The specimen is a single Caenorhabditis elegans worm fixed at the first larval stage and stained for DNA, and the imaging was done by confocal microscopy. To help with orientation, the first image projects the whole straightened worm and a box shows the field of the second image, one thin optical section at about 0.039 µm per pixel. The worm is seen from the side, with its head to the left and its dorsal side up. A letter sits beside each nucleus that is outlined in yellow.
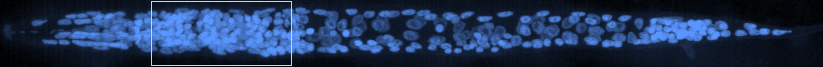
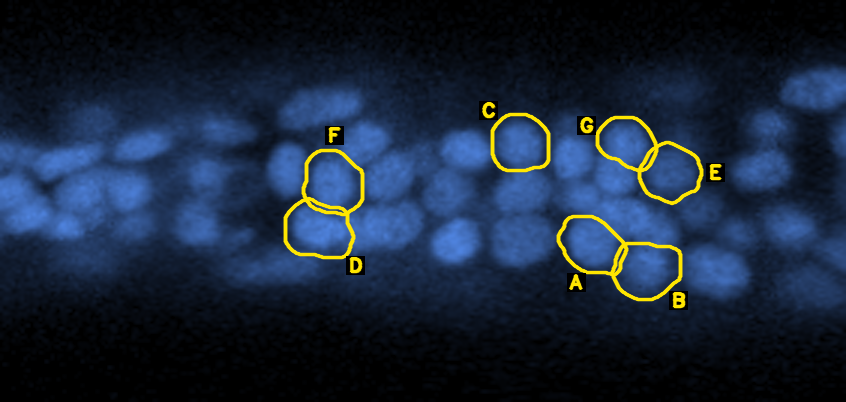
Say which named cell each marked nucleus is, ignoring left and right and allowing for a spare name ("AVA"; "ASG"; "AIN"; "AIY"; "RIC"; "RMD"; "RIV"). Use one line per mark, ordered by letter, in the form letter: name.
A: RIC
B: AIY
C: ASG
D: RMD
E: AIN
F: AVA
G: RIV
